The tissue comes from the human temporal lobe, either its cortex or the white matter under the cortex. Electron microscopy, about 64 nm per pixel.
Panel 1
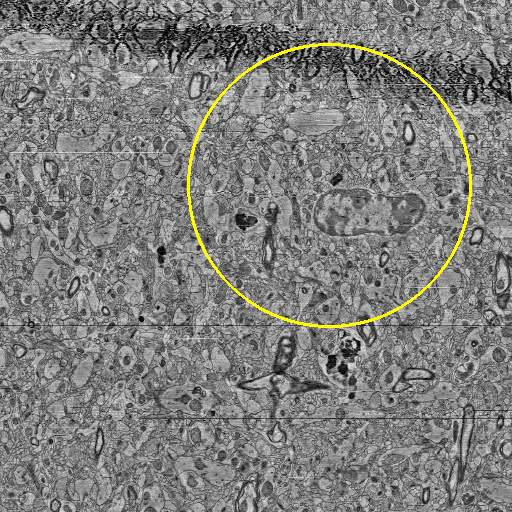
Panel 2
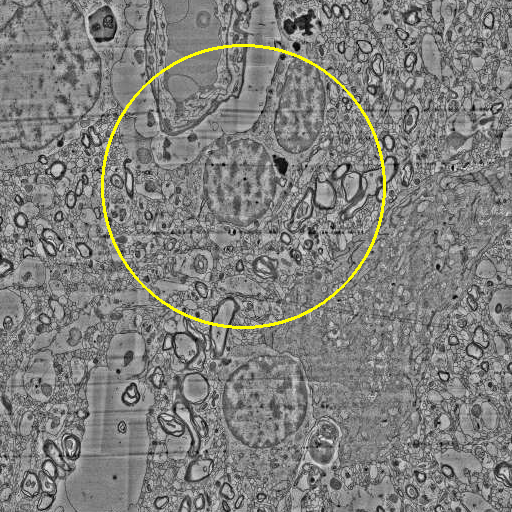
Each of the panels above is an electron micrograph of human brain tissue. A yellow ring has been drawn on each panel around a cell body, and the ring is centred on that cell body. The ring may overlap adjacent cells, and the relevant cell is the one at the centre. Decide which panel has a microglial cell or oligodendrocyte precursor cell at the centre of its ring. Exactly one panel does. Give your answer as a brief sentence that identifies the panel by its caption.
Panel 1 is the one with it at the centre of the ring.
